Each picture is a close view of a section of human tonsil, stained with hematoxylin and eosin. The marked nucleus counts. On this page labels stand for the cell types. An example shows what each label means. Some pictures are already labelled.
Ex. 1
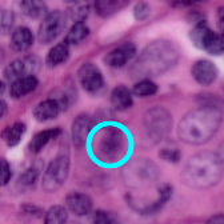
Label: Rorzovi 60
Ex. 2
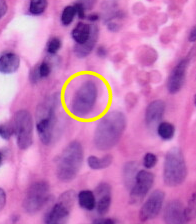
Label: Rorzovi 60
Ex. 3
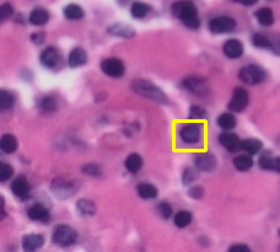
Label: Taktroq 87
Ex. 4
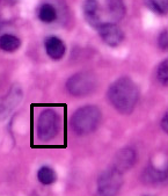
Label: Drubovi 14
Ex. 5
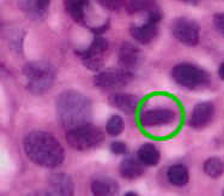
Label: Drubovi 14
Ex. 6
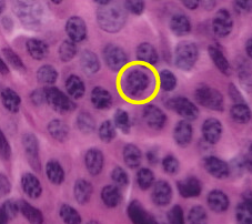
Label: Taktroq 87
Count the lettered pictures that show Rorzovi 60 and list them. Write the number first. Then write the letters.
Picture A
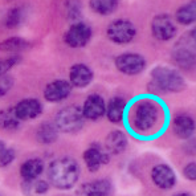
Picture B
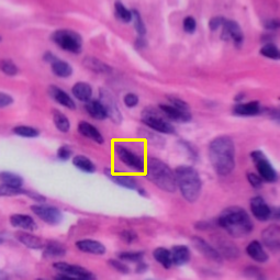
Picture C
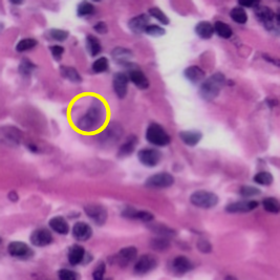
Count: 2 (B, C)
